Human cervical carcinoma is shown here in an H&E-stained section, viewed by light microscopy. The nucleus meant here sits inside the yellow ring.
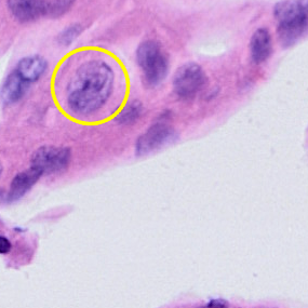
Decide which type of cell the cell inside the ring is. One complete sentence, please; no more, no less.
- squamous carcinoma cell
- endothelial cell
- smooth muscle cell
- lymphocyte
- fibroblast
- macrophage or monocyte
At the level of cell identity, the cell inside the ring is a squamous carcinoma cell.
